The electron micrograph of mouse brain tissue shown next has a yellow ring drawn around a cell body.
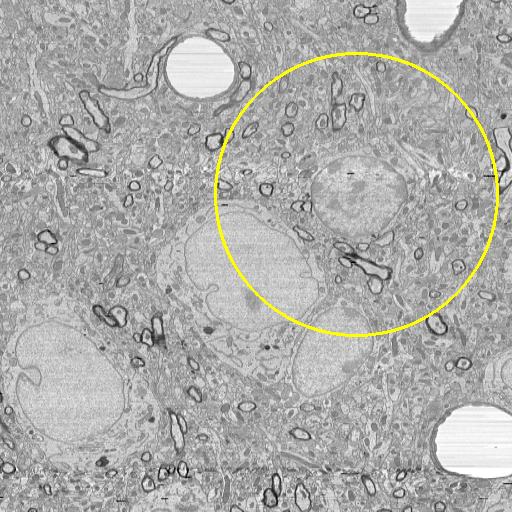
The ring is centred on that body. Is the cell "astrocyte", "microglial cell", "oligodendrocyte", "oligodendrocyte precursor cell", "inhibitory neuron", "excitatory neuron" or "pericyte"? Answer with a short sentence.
The cell in question is an oligodendrocyte.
